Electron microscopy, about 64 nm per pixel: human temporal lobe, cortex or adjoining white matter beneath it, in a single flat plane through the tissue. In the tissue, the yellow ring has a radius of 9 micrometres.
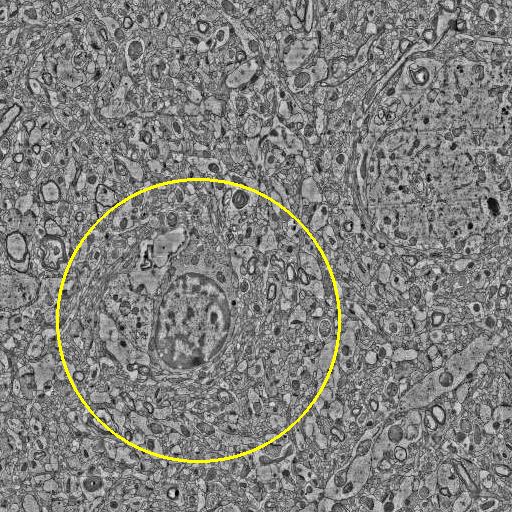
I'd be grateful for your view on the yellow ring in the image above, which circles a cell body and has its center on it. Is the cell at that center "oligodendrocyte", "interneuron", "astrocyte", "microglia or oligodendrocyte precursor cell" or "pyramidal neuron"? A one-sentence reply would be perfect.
The cell at the center of the yellow ring is an oligodendrocyte.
